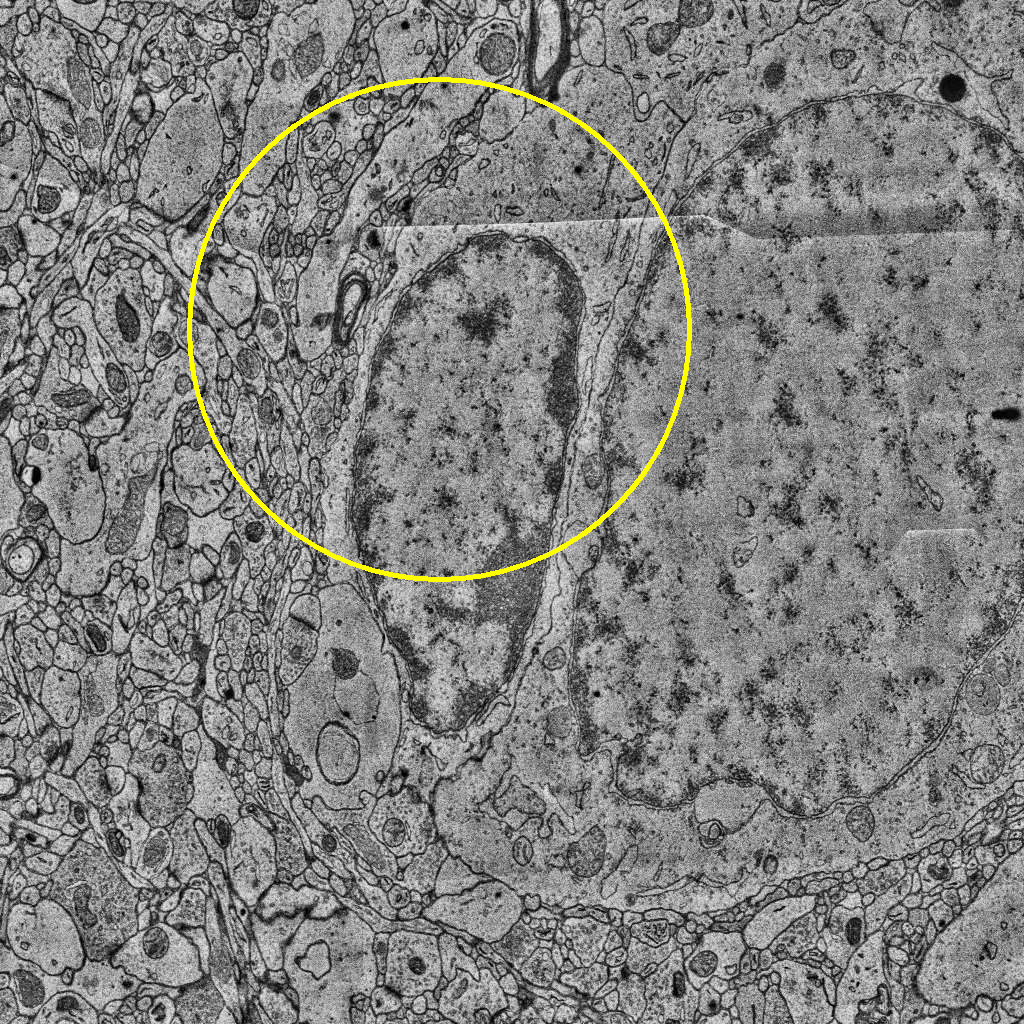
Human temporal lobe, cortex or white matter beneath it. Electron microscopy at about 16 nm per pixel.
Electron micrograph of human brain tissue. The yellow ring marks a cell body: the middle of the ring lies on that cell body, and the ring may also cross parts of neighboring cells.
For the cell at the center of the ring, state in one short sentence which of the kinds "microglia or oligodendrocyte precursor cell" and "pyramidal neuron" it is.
This ring's center lies on a microglial cell or oligodendrocyte precursor cell.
